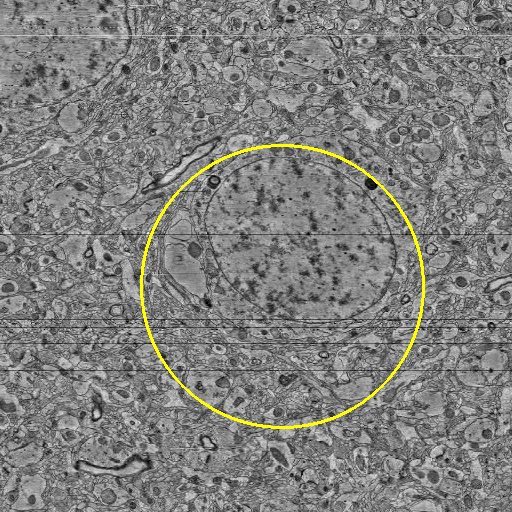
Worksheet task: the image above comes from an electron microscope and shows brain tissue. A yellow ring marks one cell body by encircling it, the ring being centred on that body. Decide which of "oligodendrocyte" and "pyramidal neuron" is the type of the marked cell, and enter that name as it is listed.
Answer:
pyramidal neuron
